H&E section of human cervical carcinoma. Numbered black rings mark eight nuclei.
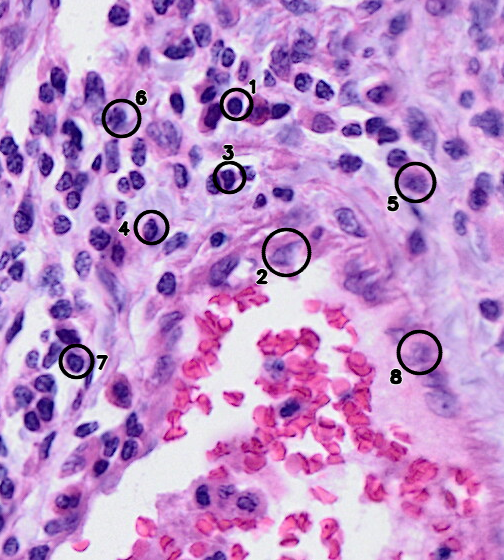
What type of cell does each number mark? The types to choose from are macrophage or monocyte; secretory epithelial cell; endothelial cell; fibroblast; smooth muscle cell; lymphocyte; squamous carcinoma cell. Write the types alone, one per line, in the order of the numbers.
lymphocyte
endothelial cell
lymphocyte
lymphocyte
macrophage or monocyte
lymphocyte
lymphocyte
endothelial cell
